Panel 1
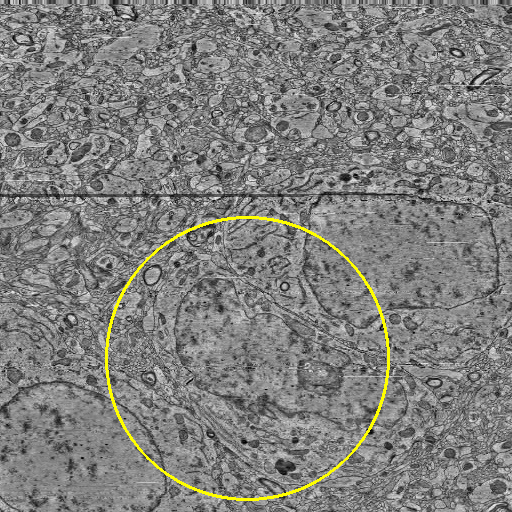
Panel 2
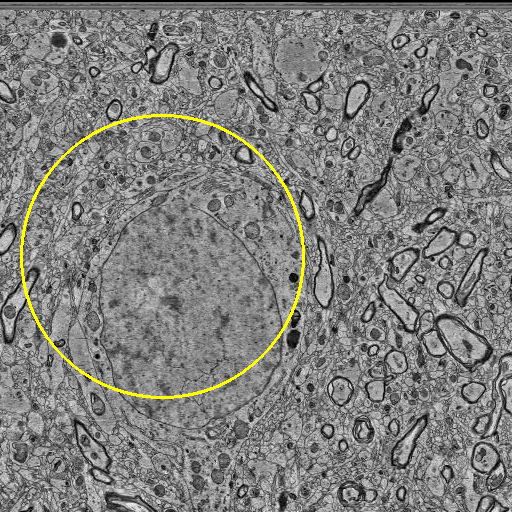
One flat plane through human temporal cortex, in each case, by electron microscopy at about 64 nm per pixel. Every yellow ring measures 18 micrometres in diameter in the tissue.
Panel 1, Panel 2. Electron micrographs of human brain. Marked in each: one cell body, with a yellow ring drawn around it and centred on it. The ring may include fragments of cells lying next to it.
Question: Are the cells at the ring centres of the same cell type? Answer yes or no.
no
